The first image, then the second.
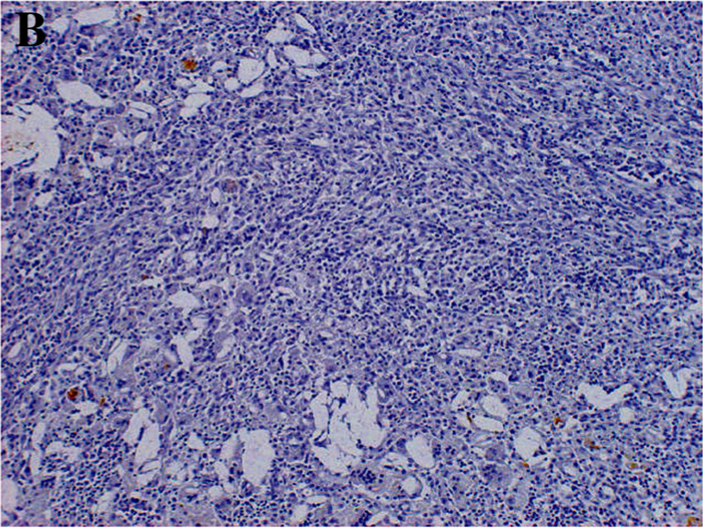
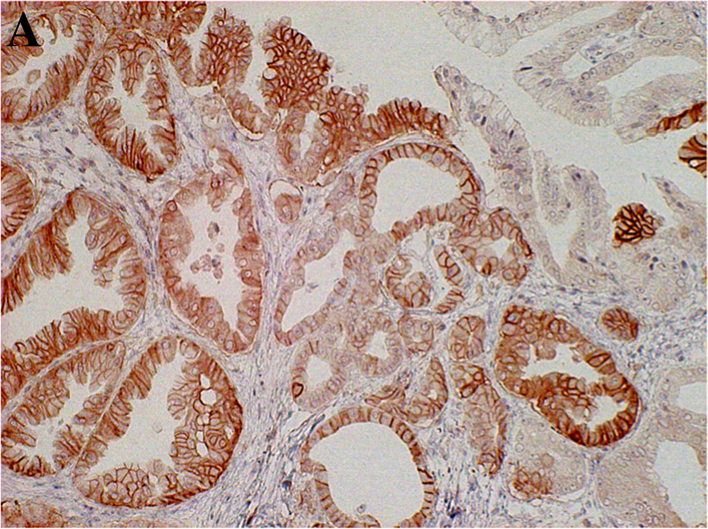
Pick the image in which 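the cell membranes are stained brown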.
The second image.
